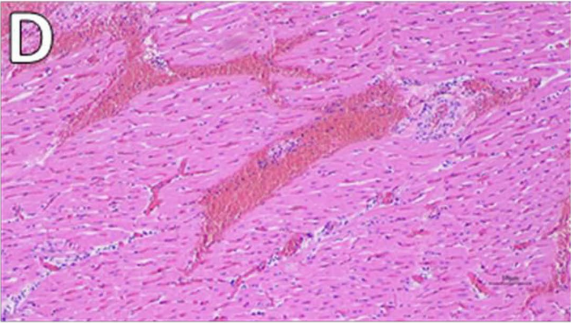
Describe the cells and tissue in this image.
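This is heart muscle, with cardiac muscle fibers running in long parallel rows, each carrying elongated nuclei within pink cytoplasm. Between the fibers lie broad streaks of red blood cells that have escaped into the tissue, spreading along the spaces between bundles. A few small clusters of blue nuclei sit near these red pools. Elsewhere the fibers look orderly and evenly pink.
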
